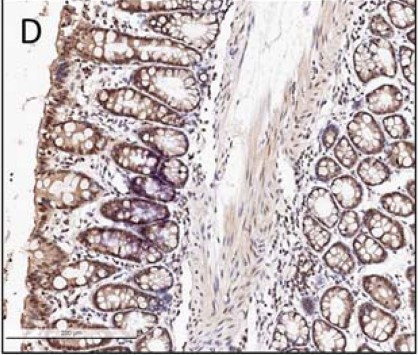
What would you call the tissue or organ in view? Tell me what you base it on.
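Mucosa made of straight glands without villi. Glands are rich in pale, clear goblet-like cells. Smooth muscle bundles lie beneath the mucosa.
Hence: colon.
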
